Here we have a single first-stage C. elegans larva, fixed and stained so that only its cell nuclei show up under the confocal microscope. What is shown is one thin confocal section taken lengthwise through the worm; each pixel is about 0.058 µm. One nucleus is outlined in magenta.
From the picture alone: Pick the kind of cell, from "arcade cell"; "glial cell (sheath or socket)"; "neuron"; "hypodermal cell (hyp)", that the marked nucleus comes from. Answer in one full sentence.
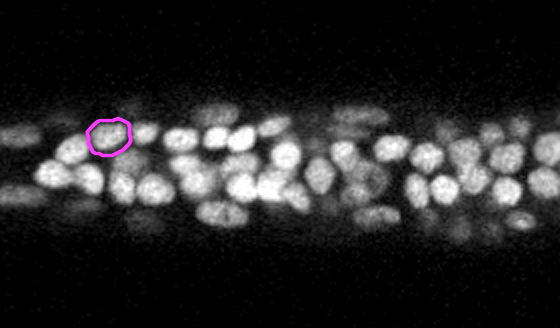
The marked nucleus is that of a glial cell (sheath or socket).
